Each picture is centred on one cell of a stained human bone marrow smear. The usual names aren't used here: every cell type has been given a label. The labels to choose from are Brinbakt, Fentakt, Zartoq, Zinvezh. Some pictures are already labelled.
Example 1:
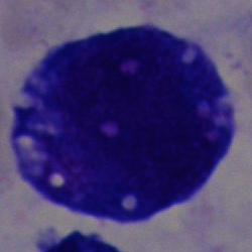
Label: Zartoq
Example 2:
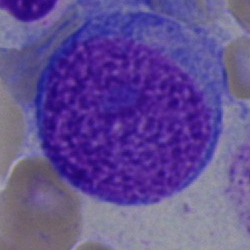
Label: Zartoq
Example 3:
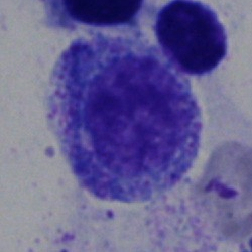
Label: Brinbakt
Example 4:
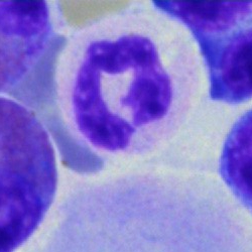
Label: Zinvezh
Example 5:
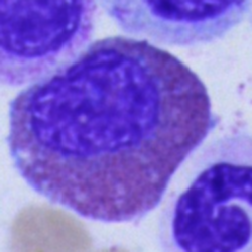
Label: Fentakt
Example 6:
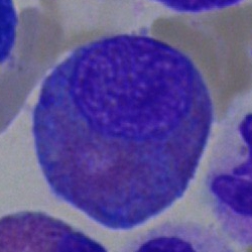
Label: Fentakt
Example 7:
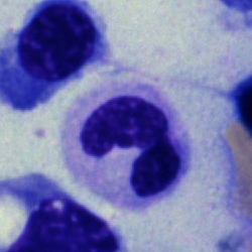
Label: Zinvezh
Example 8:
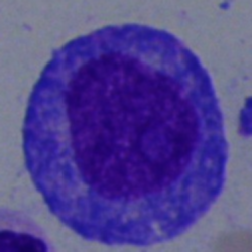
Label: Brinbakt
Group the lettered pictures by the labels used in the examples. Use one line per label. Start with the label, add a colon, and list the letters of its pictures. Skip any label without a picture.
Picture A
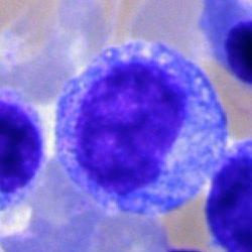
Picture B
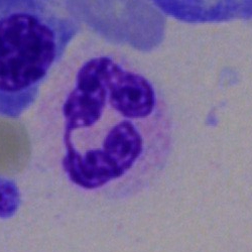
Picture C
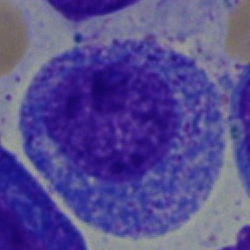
Brinbakt: A, C
Zinvezh: B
